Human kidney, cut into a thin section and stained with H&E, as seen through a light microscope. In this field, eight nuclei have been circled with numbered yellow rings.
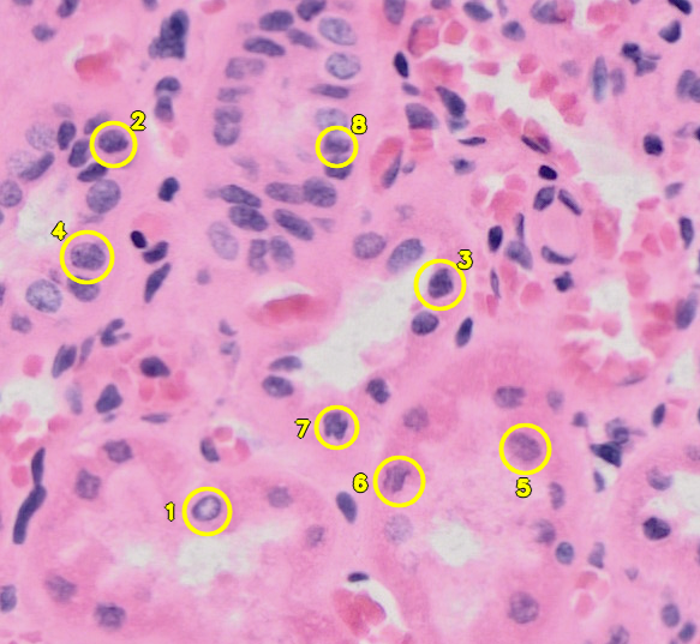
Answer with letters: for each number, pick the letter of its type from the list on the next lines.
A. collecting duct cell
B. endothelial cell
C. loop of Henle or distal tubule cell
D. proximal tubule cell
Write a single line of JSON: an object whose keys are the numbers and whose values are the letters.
{"1": "D", "2": "A", "3": "C", "4": "A", "5": "D", "6": "D", "7": "C", "8": "A"}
